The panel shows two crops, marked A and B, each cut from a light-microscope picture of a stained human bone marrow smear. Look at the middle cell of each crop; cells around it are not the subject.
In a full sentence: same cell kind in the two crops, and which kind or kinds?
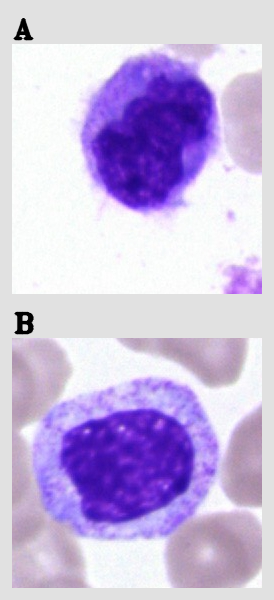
No, crop A offers a monocyte, while crop B offers a myelocyte.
